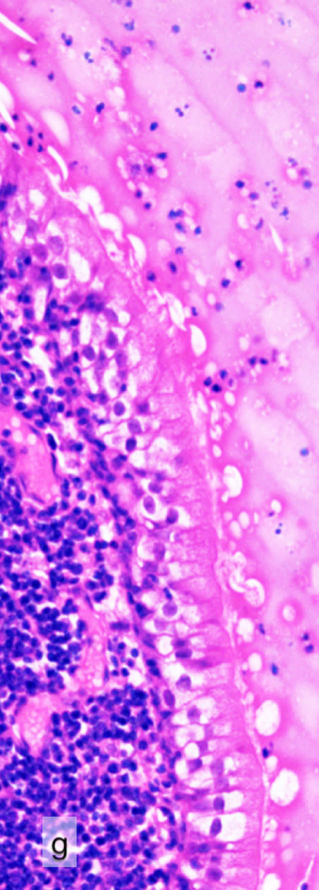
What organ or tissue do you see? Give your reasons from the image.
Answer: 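Respiratory type epithelium. Some epithelial cells have pale, vacuolated cytoplasm.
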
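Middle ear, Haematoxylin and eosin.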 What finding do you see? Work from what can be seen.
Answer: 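Chronic inflammation. Dense accumulation of small cells with round dark-blue nuclei beneath an epithelium. Pink exudate with scattered dark nuclear fragments lies on the epithelial surface side.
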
